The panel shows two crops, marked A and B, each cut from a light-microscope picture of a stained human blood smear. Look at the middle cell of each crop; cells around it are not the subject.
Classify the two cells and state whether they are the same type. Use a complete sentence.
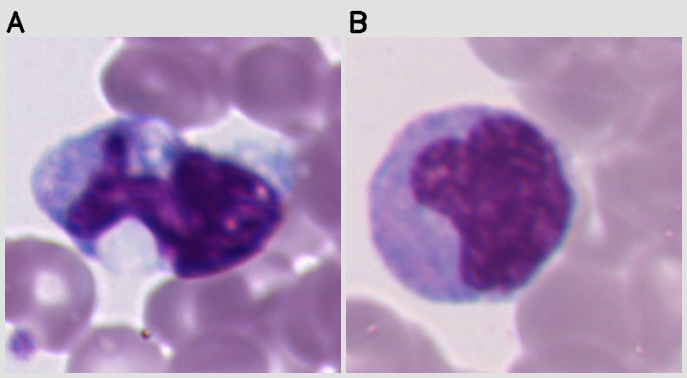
Yes, monocytes are seen in both crops.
